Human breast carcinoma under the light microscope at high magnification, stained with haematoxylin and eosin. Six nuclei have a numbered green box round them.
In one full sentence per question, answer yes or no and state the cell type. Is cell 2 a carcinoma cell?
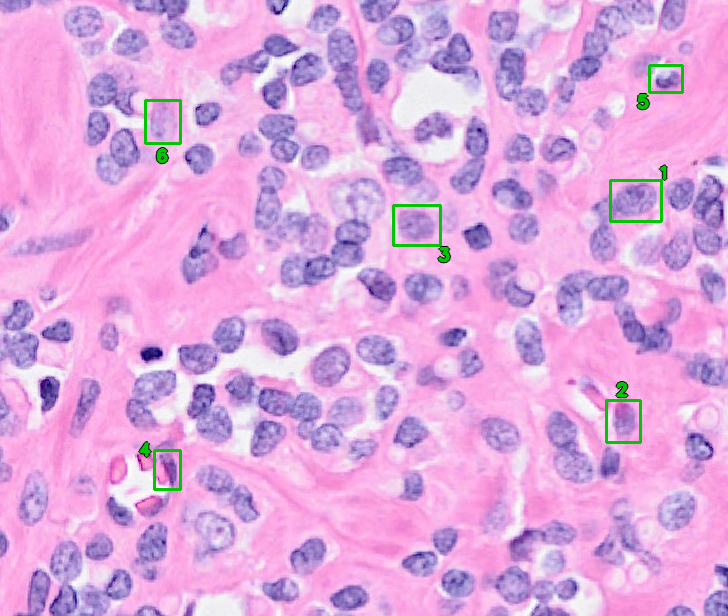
No, rather than a carcinoma cell, cell number 2 is an endothelial cell.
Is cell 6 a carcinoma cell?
Yes, the cell referred to as number 6 is a carcinoma cell.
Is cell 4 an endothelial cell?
Yes, the cell with the number 4 is an endothelial cell.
